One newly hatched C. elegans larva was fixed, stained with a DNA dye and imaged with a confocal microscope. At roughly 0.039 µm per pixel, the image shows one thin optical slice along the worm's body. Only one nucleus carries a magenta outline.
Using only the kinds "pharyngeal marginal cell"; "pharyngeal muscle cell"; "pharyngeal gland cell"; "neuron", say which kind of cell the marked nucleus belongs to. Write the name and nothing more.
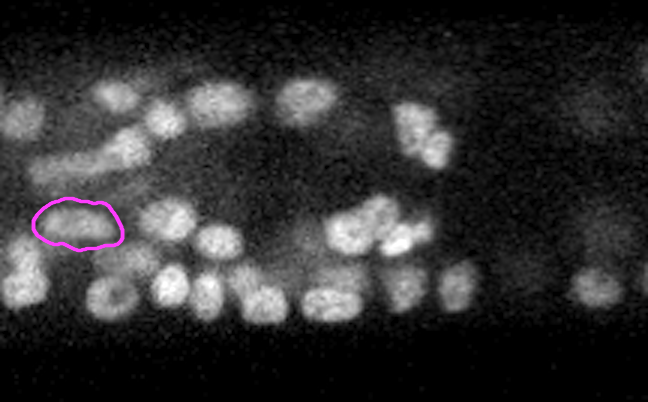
pharyngeal marginal cell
